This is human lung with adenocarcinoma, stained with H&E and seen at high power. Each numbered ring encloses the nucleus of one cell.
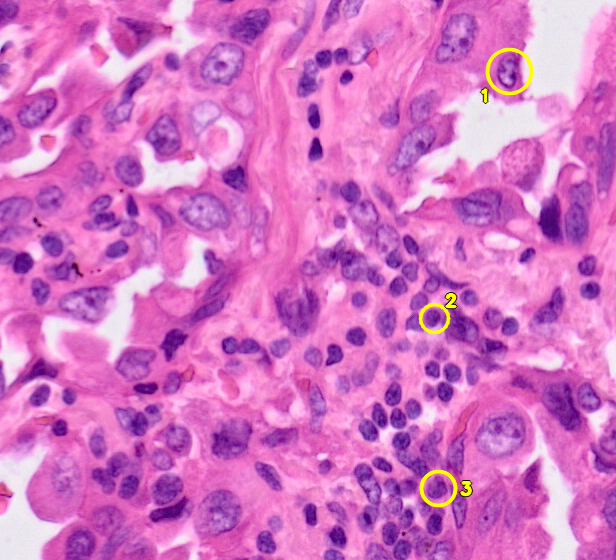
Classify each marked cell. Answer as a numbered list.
1. macrophage or monocyte
2. lymphocyte
3. lymphocyte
